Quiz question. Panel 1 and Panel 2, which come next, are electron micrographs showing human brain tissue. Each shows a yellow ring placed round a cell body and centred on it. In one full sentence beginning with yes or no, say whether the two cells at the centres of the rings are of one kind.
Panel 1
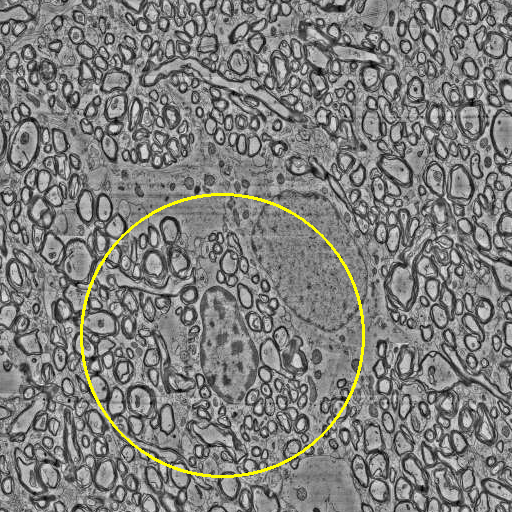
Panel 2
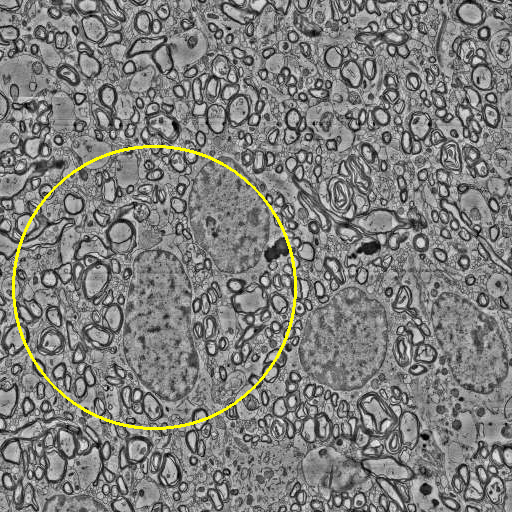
Yes, Panel 1 and Panel 2 show one kind of cell at the centre of the ring.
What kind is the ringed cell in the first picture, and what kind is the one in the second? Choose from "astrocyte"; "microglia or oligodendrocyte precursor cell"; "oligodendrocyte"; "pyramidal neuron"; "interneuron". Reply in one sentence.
The cell in the first picture is a microglial cell or oligodendrocyte precursor cell, and so is the one in the second.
